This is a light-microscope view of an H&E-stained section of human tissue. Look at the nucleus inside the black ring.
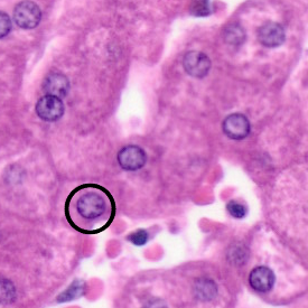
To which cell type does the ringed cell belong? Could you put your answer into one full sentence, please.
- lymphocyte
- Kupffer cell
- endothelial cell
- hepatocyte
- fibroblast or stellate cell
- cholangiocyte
Typologically, the ringed cell is a hepatocyte in this section.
